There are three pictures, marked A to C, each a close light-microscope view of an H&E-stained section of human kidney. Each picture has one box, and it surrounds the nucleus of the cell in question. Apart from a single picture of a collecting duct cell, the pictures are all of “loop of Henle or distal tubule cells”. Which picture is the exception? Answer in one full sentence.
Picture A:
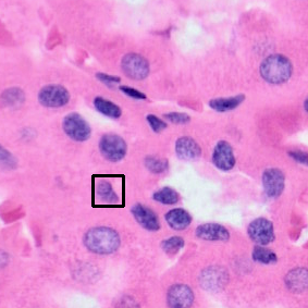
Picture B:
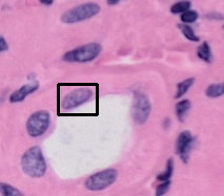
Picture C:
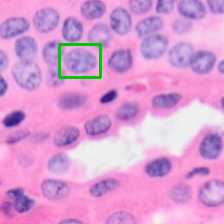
Picture C shows the collecting duct cell.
